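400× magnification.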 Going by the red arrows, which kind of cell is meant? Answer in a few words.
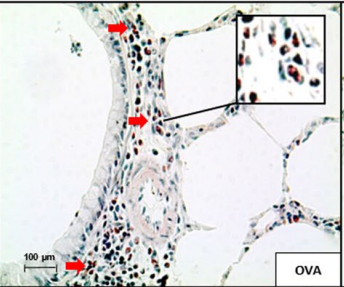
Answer: Eosinophils.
